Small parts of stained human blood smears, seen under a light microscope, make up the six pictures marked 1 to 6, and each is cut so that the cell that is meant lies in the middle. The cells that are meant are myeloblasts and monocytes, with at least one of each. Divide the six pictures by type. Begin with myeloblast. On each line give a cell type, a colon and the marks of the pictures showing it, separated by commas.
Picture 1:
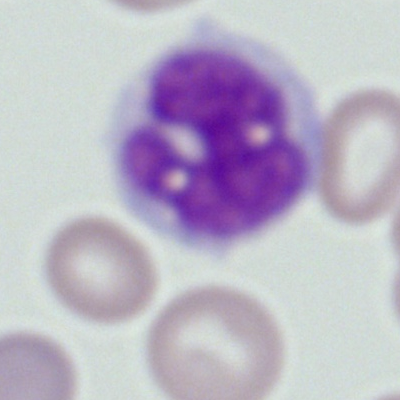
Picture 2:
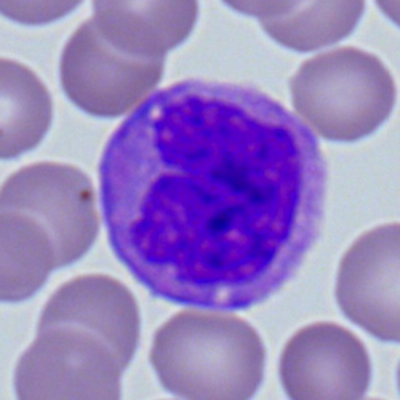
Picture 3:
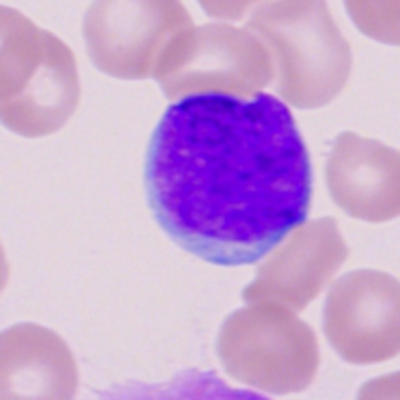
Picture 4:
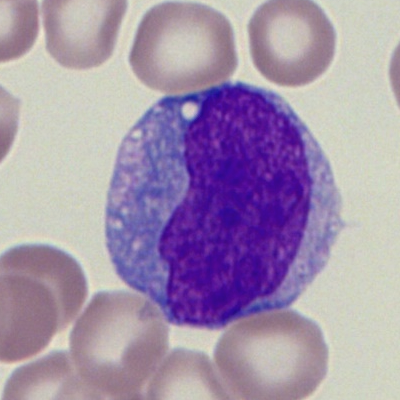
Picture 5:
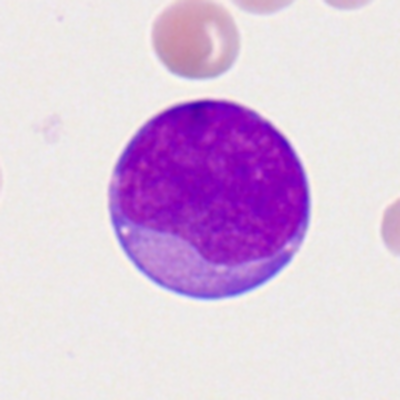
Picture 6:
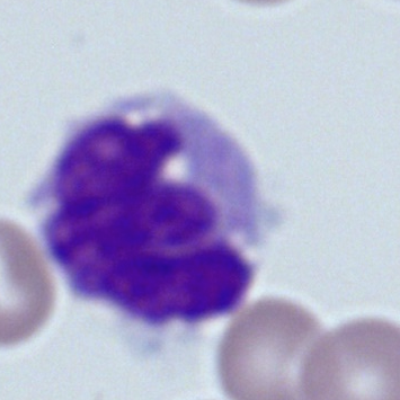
myeloblast: 3, 5
monocyte: 1, 2, 4, 6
